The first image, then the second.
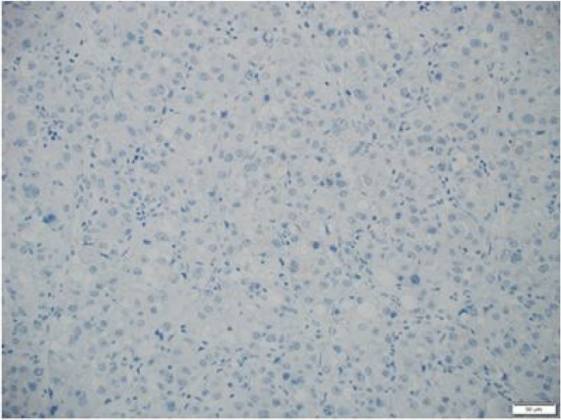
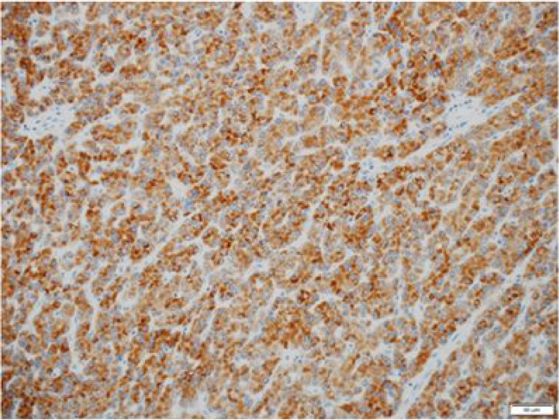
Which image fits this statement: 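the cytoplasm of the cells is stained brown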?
The second image.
